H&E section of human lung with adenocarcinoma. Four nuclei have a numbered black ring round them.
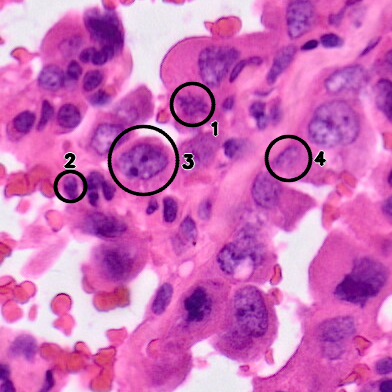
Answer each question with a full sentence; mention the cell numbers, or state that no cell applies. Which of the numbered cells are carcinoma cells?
By cell type, the cells numbered 1, 3 and 4 are carcinoma cells.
